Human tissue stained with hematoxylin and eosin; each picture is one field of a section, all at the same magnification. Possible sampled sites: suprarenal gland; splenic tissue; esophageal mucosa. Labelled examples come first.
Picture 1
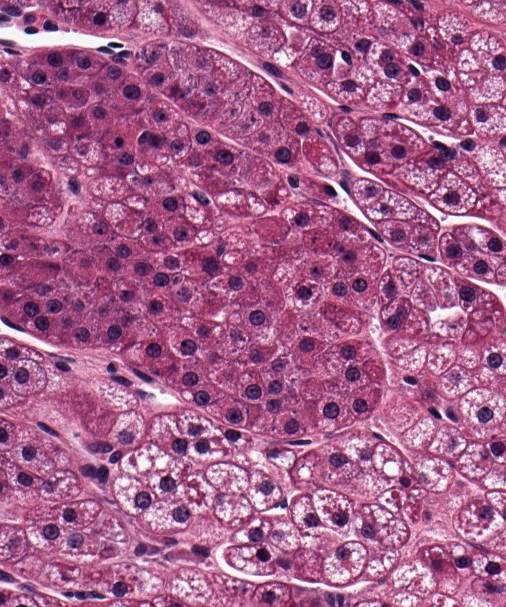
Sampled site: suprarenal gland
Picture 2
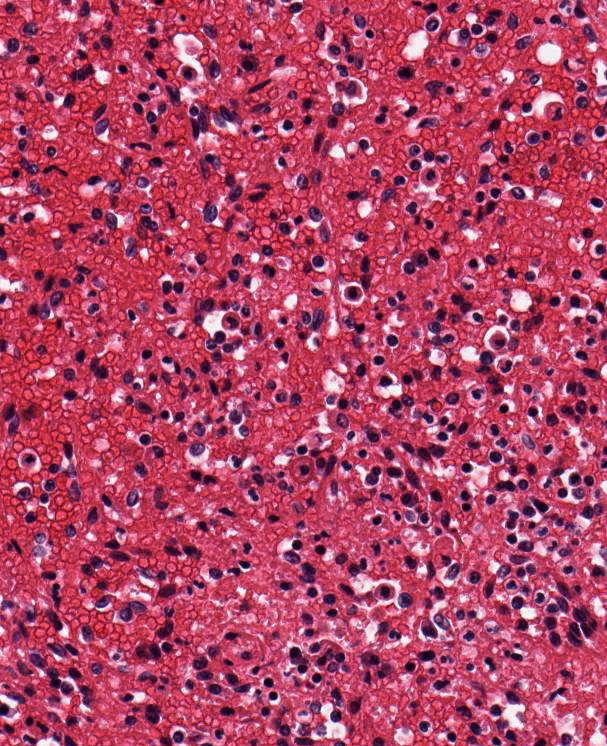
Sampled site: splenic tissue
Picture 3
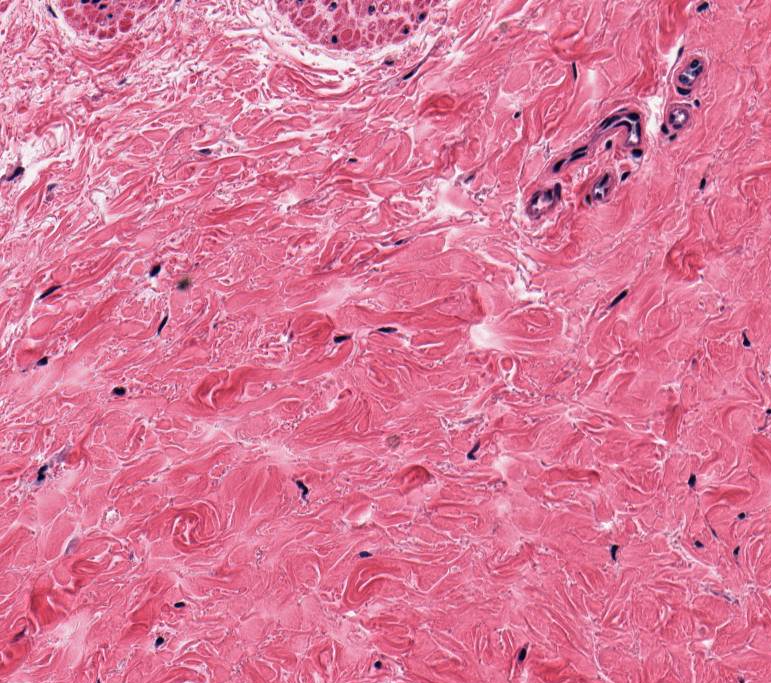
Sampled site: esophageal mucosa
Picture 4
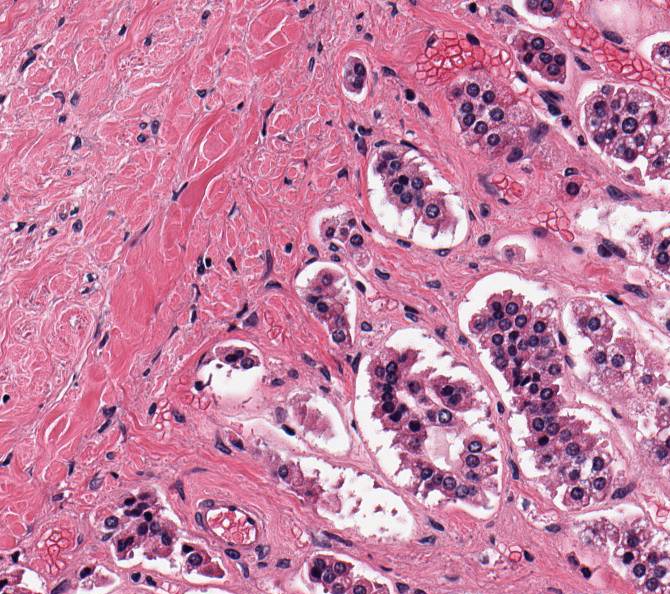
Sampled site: suprarenal gland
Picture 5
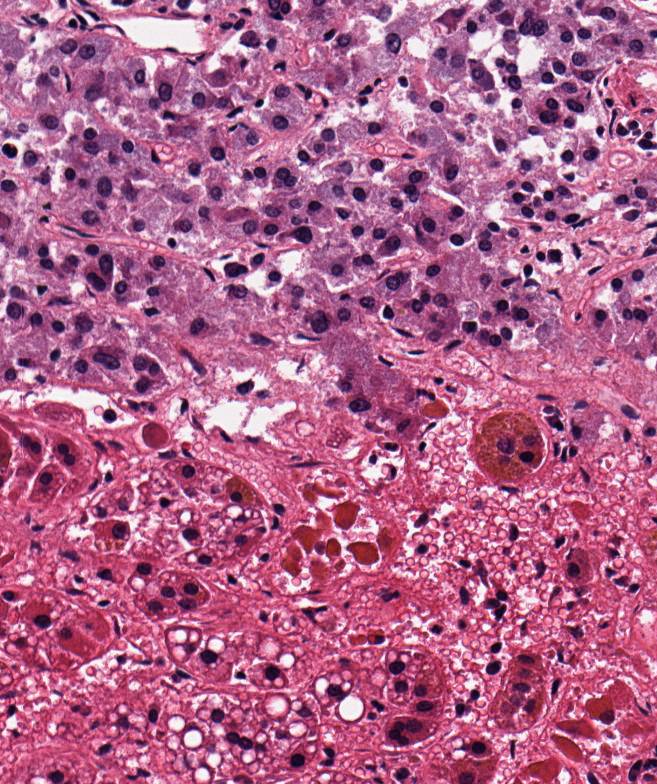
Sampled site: suprarenal gland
